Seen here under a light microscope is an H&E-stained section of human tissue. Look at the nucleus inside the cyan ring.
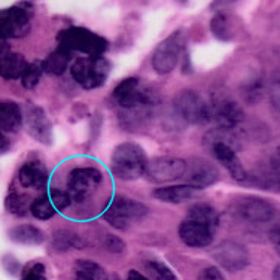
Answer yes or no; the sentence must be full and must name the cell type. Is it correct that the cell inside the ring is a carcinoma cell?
Yes, the cell inside the ring is a carcinoma cell; nothing to add.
